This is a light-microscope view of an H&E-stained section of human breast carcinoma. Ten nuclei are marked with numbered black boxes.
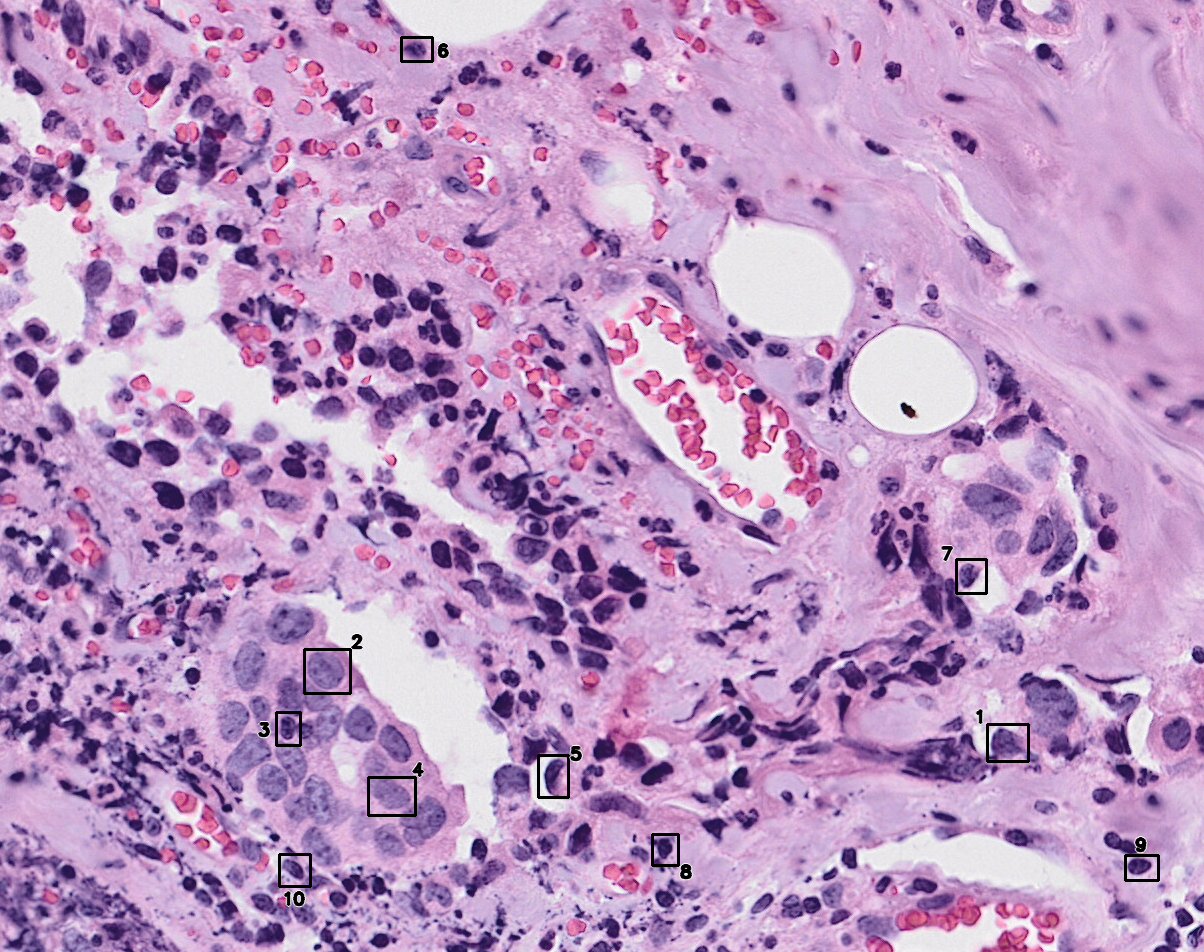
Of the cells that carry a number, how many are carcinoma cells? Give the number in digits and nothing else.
4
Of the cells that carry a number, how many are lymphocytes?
5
